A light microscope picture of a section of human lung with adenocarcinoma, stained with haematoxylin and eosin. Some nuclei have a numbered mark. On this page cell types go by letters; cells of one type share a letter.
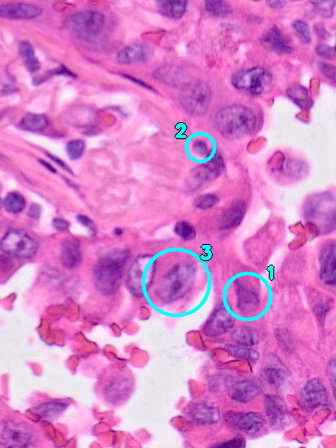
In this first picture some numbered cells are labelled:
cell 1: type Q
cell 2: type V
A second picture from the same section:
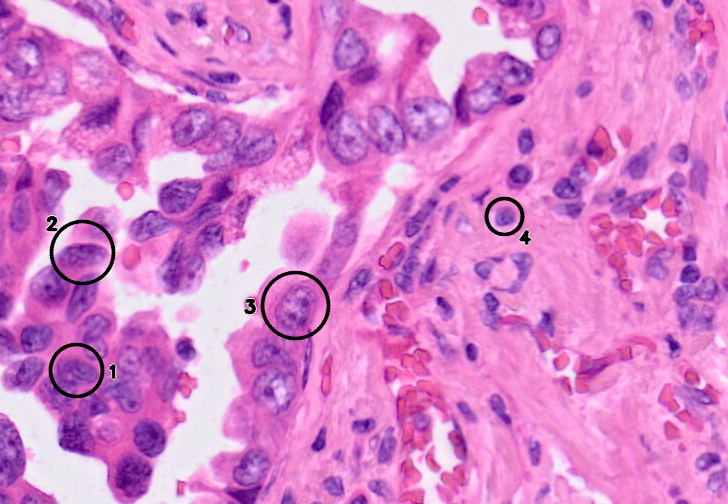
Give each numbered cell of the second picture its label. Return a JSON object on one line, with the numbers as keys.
{"1": "type Q", "2": "type Q", "3": "type Q", "4": "type V"}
